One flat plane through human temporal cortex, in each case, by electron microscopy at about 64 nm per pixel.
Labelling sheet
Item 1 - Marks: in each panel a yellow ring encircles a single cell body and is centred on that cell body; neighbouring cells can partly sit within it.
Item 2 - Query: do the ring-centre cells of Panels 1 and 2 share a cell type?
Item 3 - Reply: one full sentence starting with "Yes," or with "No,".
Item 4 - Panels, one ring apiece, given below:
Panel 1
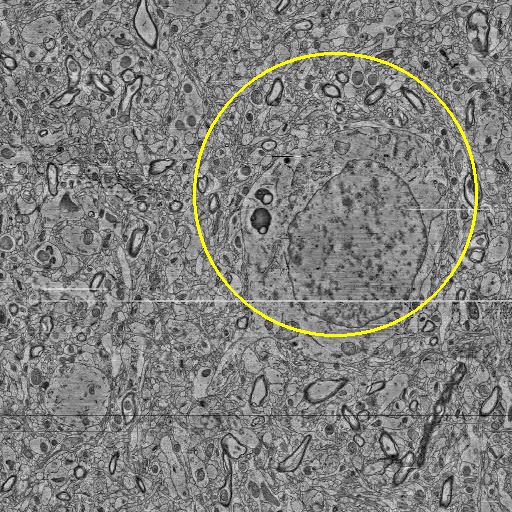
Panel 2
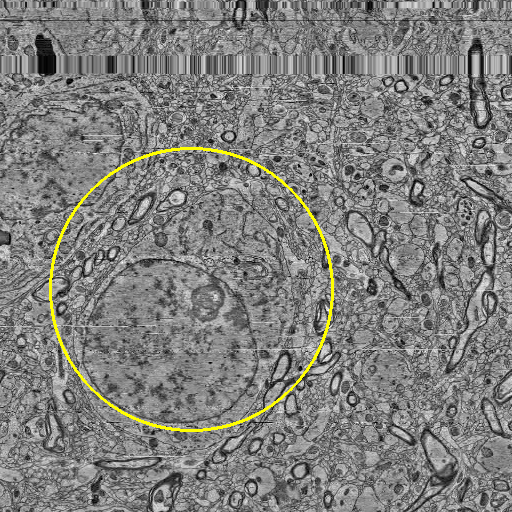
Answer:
Yes, Panel 1 and Panel 2 show one cell type at the centres of their rings.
